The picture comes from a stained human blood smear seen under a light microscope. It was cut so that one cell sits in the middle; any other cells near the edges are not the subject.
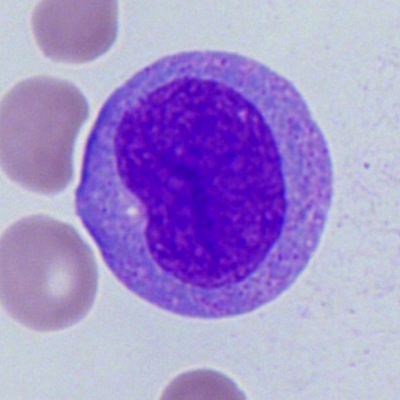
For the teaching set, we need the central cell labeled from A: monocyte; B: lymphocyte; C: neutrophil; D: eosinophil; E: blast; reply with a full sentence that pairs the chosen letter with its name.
Option E is the correct option, with the middle cell being a blast.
